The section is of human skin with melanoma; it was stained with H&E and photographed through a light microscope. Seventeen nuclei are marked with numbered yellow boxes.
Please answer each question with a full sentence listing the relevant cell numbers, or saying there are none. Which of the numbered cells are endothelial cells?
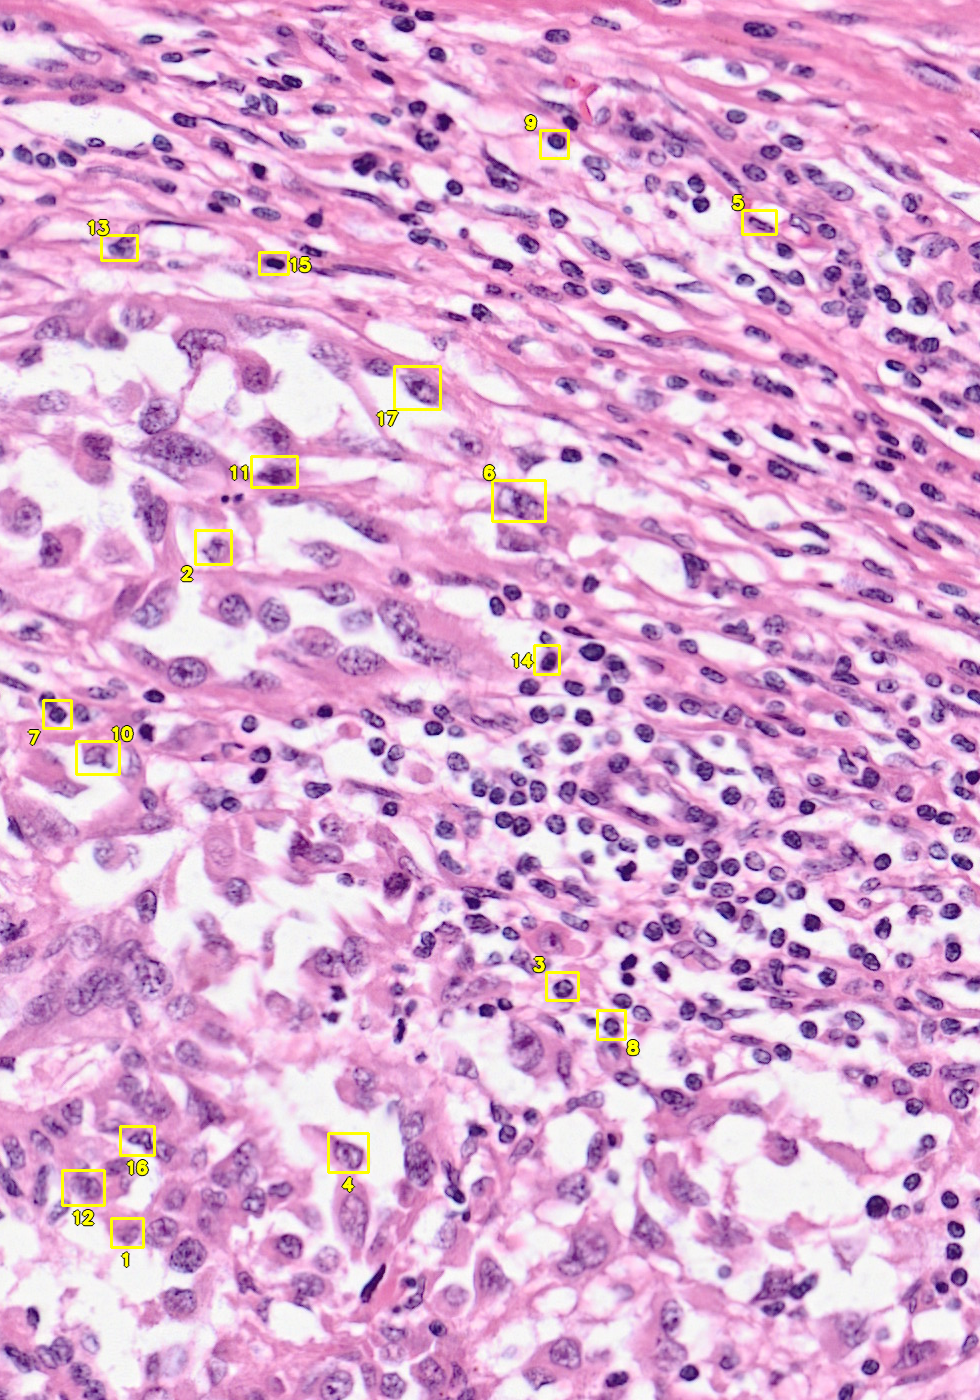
Whereas cell 5 is an endothelial cell, the other numbered cells are not.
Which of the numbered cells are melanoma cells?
Cells that were given the numbers 1, 2, 4, 6, 10, 11, 12, 16 and 17 are melanoma cells.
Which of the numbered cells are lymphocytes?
Cells 3, 7, 8, 9 and 13 are classified as lymphocytes.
